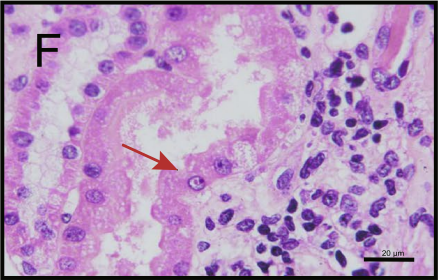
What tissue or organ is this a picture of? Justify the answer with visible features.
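Cuboidal cells with pink cytoplasm lining a lumen. Round nuclei in a single layer along the tubule.
Hence: renal tubular epithelial cells.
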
